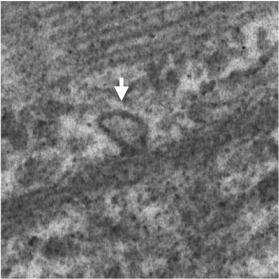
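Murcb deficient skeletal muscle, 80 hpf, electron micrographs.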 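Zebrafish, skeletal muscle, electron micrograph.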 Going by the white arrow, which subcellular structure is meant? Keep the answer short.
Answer: Caveloae.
